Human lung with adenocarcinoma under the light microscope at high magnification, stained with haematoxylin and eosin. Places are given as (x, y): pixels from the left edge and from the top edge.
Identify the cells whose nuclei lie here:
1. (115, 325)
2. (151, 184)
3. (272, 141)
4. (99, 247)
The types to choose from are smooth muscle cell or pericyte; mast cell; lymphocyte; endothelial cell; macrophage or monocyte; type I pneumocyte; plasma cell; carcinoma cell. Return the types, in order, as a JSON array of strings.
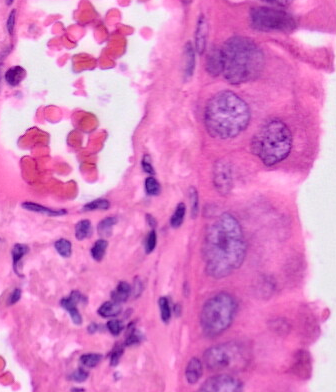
["lymphocyte", "lymphocyte", "carcinoma cell", "lymphocyte"]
